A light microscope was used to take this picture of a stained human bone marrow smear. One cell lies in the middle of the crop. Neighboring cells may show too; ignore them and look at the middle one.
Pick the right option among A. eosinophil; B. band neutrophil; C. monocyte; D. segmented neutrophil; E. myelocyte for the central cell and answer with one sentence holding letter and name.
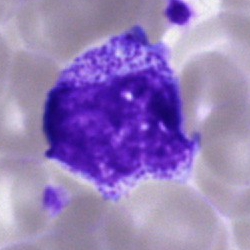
Well, the cell in the middle is a myelocyte, making option E right.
